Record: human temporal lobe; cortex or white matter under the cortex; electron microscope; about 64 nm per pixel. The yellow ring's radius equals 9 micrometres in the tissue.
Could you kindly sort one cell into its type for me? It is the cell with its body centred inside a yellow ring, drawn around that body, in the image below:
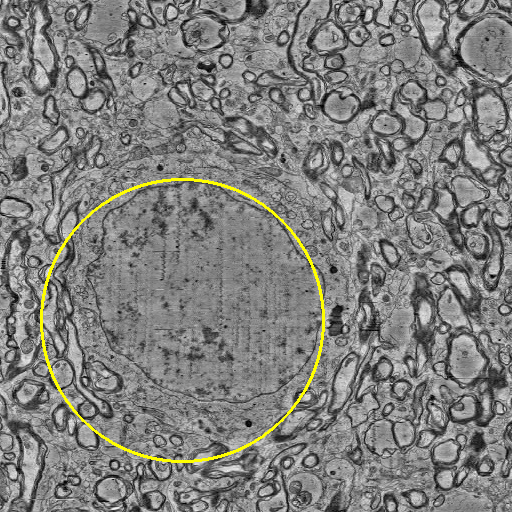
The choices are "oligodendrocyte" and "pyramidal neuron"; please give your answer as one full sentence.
The cell whose body lies centred in the yellow ring here is a pyramidal neuron.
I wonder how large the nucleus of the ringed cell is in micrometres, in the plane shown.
The nucleus of the ringed cell is approximately 16 by 13 micrometres in this plane.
